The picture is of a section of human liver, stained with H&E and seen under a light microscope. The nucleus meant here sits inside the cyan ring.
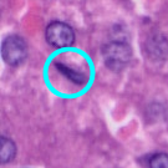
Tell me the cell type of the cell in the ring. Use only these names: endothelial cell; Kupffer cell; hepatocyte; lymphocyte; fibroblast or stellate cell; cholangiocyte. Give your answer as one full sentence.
In this field of tissue, the cell in the ring is a fibroblast or stellate cell.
